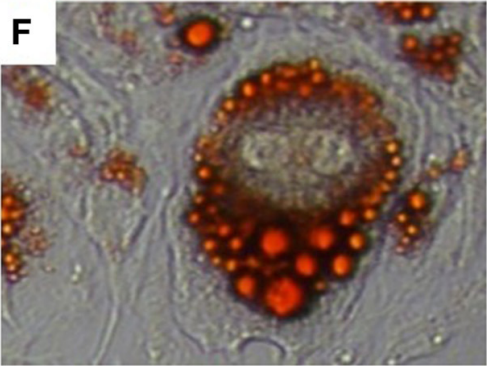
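A single large, rounded adipocyte is seen at higher magnification, its cytoplasm crowded with many red-orange lipid droplets of varying size. The droplets gather around a pale, unstained central region, while the flat, elongated cells around it take up little red stain.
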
